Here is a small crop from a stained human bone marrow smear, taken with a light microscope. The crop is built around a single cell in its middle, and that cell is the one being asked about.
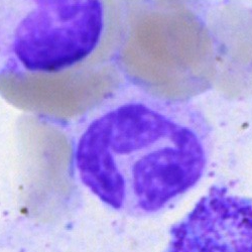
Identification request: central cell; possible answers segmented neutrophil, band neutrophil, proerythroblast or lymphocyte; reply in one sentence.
This particular crop is centered on a segmented neutrophil.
